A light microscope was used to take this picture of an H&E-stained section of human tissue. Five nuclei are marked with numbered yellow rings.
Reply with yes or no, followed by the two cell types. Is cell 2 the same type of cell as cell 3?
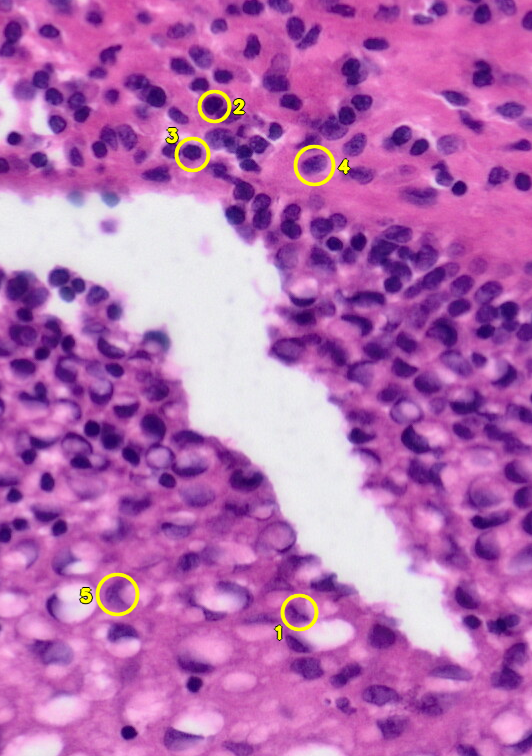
Yes, both of the cells numbered 2 and 3 are plasma cells.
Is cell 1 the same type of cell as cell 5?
Yes, both of cells 1 and 5 are squamous epithelial cells.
